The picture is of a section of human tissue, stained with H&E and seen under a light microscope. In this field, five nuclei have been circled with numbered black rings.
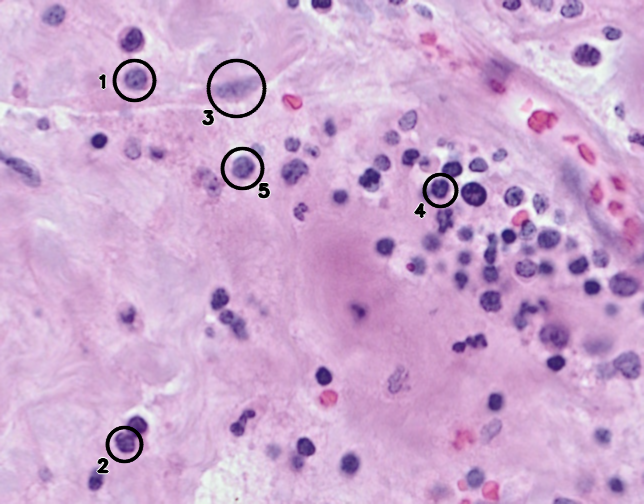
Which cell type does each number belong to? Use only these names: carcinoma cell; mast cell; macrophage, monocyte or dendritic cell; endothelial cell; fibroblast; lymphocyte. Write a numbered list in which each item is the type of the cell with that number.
1. mast cell
2. lymphocyte
3. fibroblast
4. lymphocyte
5. lymphocyte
